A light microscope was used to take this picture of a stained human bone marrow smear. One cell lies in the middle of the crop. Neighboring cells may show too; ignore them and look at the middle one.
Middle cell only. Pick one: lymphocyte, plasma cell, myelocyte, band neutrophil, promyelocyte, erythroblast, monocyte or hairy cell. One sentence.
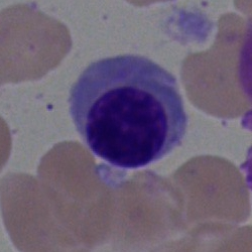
This crop has an erythroblast at its centre.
